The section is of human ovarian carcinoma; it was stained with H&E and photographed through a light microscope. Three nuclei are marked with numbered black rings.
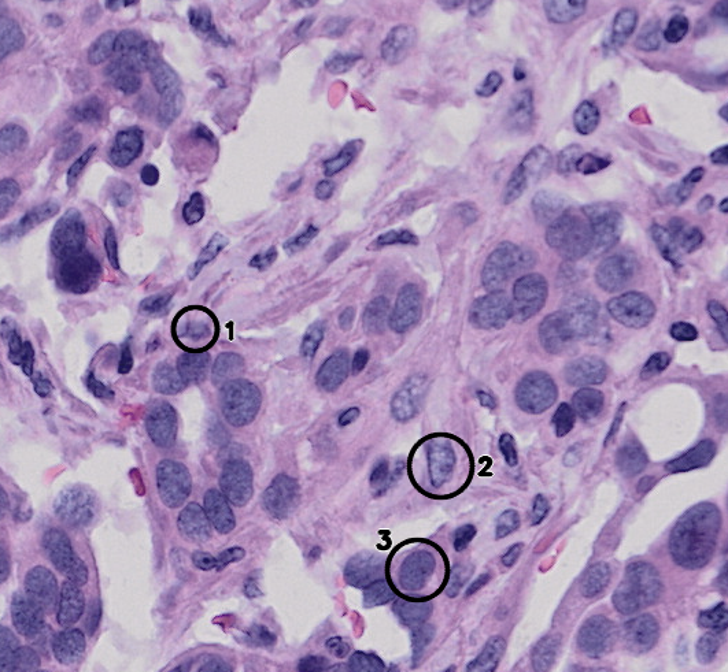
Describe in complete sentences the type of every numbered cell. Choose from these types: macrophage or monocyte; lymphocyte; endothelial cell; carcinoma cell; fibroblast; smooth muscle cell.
Cell 1 is a fibroblast, cell 2 is a fibroblast and cell 3 is a carcinoma cell.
